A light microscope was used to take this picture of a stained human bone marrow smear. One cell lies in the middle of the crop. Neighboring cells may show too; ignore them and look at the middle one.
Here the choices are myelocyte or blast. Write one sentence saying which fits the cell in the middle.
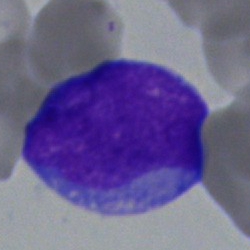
By type, the central cell of the crop is a blast.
